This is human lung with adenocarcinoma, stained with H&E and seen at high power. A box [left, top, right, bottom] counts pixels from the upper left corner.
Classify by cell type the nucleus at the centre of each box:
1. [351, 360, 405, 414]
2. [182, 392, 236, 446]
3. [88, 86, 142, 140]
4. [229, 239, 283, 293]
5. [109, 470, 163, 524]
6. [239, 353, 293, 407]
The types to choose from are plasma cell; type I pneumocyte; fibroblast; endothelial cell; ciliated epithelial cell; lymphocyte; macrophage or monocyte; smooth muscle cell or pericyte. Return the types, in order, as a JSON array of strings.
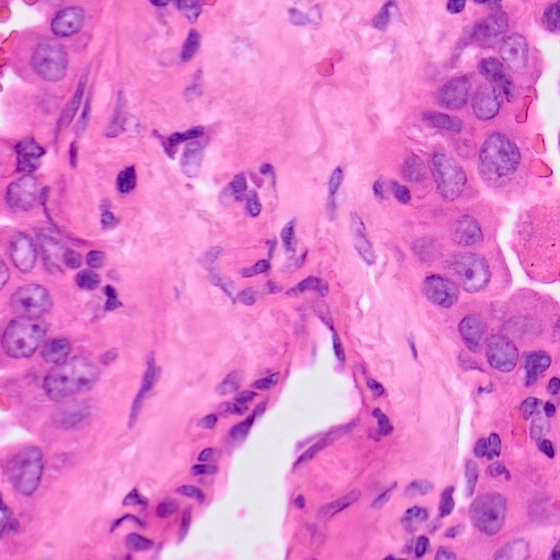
["smooth muscle cell or pericyte", "smooth muscle cell or pericyte", "fibroblast", "smooth muscle cell or pericyte", "fibroblast", "smooth muscle cell or pericyte"]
